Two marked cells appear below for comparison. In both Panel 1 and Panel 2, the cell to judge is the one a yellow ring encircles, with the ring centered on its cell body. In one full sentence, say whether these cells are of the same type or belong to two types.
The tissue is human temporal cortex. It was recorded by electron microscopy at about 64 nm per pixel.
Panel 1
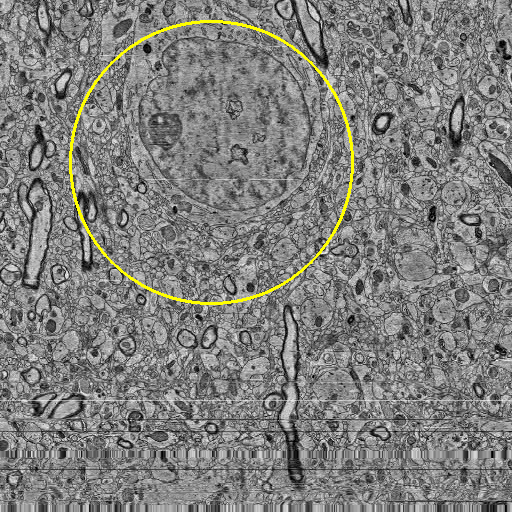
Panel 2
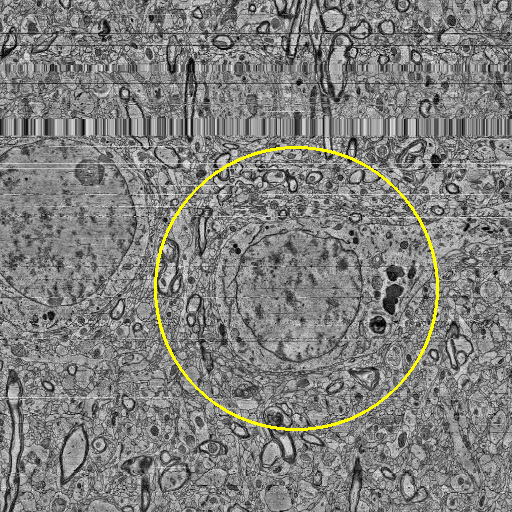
The cell centered in the Panel 1 ring and the one in Panel 2 belong to two types.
